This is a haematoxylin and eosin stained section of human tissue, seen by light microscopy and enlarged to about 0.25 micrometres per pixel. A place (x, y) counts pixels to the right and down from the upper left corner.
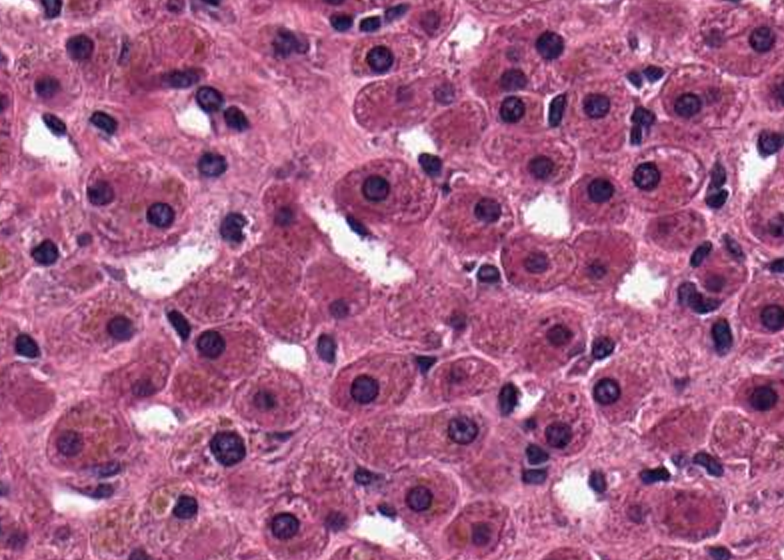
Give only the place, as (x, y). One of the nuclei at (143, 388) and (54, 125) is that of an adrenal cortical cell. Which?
(143, 388)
